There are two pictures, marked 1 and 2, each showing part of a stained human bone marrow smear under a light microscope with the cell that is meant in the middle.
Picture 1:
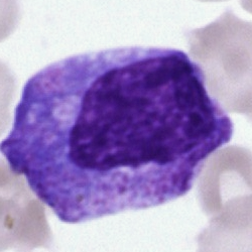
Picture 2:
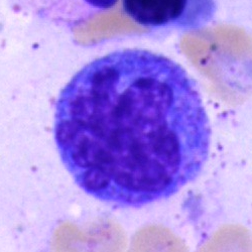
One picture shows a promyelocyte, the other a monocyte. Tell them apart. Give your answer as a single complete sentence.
The cell in picture 1 is a promyelocyte, and the one in picture 2 is a monocyte.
